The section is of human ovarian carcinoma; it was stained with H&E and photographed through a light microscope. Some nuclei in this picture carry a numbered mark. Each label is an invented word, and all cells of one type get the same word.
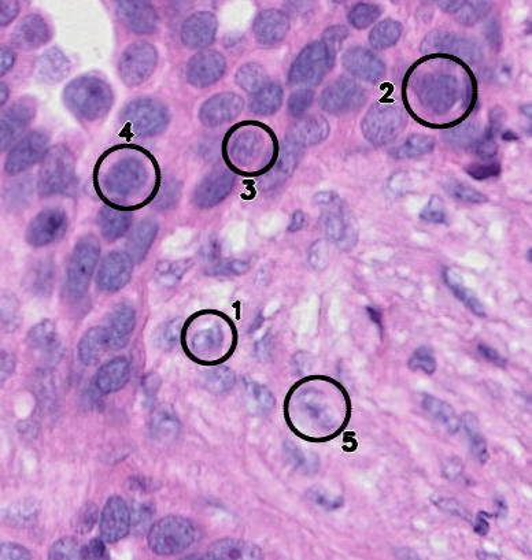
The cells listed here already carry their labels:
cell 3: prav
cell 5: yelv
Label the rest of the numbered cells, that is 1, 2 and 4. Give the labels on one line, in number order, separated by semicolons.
yelv; prav; prav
